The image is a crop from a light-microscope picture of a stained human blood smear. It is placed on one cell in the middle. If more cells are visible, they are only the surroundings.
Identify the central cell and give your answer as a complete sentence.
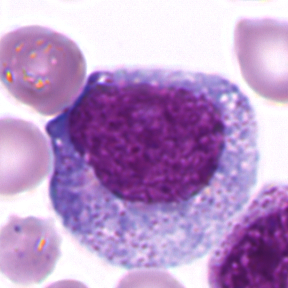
Within this crop, a promyelocyte occupies the central position.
